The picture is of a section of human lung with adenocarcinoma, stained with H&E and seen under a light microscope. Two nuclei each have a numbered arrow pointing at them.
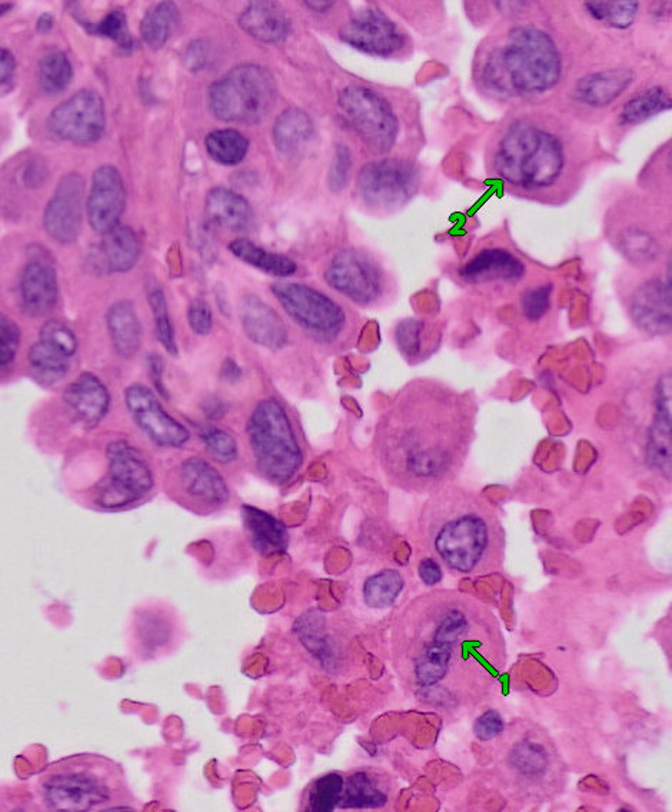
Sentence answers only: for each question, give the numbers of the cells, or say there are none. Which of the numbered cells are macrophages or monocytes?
Only one choice fits: cell 1 is a macrophage or monocyte, and no other.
